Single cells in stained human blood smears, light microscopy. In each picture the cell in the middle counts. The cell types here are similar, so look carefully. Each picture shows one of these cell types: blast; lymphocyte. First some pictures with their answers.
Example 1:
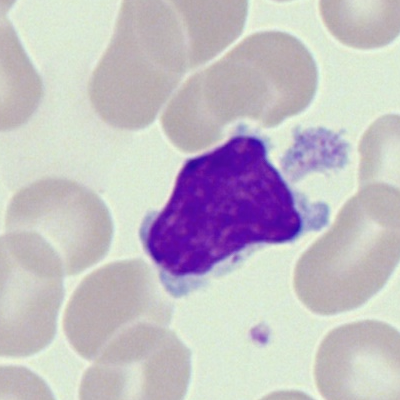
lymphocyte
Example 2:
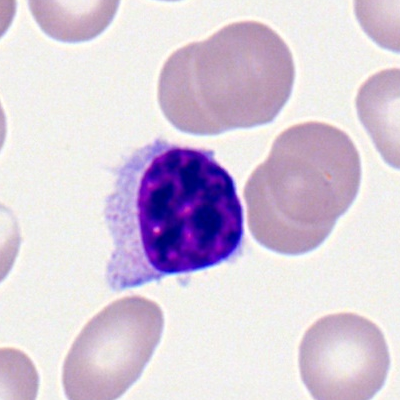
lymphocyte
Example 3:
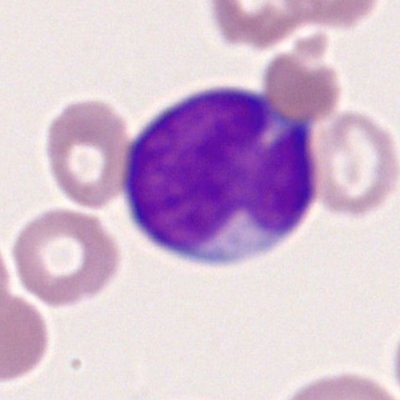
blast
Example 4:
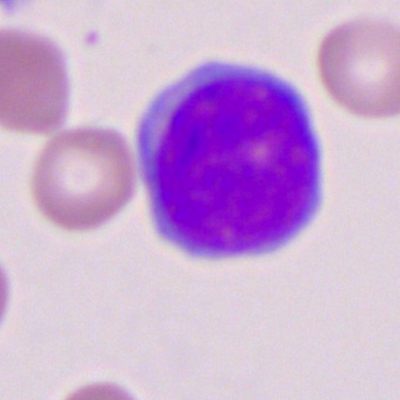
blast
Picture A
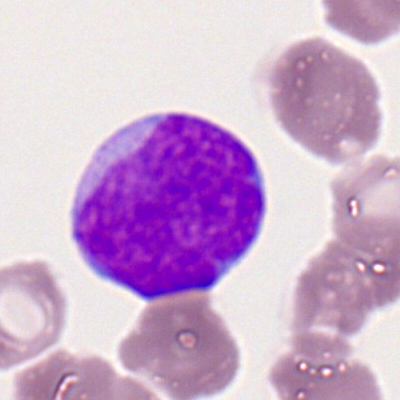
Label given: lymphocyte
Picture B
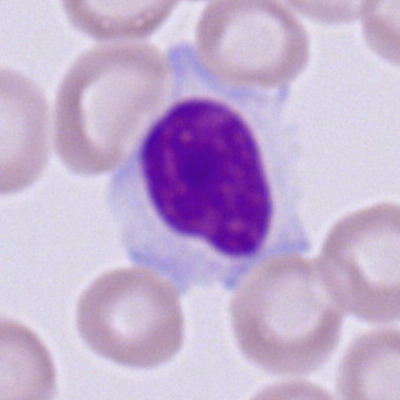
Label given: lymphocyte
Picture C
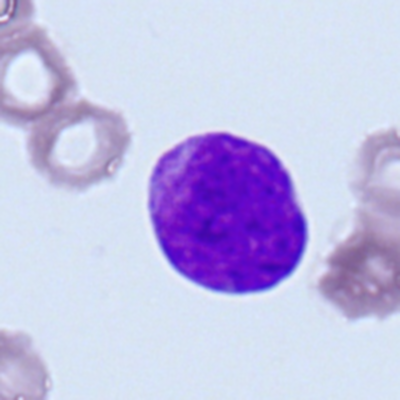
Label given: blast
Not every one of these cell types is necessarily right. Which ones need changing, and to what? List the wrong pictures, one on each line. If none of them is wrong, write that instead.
A: change lymphocyte to blast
